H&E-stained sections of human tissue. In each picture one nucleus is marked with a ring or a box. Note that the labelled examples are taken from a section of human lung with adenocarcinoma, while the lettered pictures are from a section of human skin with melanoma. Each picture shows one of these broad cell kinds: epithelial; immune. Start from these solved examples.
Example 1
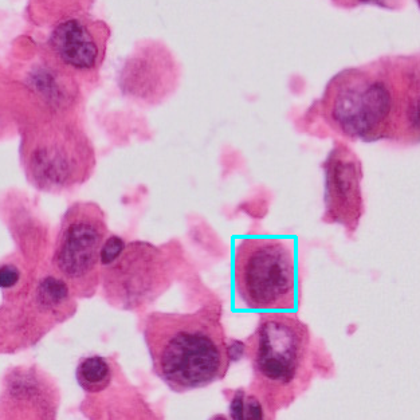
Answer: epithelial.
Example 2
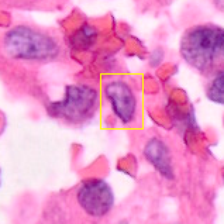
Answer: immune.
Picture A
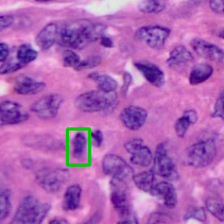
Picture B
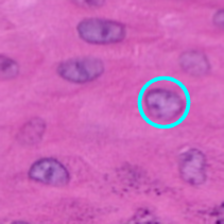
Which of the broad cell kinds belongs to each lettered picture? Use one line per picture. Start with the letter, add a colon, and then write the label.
A: immune.
B: epithelial.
